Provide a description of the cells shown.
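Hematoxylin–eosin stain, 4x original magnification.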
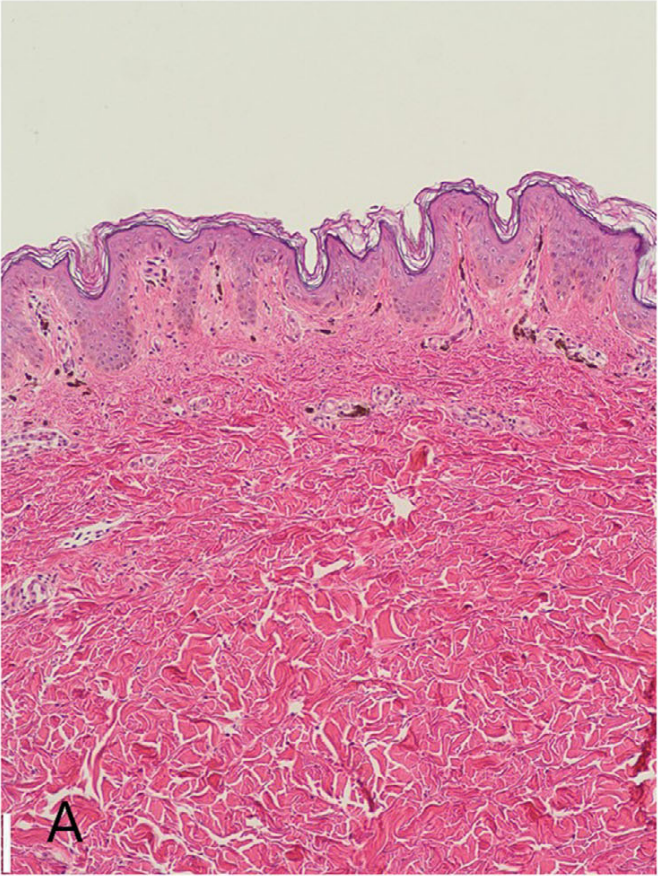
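This is skin at low power, with the epidermis along the top and the dermis filling the rest of the field. The epidermis has a thin, loose, wavy keratin layer over a pink-purple band of spinous cells, with rete ridges dipping down between dermal papillae. In the papillae just under the epidermis lie scattered cells packed with coarse dark brown pigment, while the deeper dermis is made of pink collagen bundles with few cells and no such pigment. There is no dense band of inflammatory cells hugging the junction between epidermis and dermis.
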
